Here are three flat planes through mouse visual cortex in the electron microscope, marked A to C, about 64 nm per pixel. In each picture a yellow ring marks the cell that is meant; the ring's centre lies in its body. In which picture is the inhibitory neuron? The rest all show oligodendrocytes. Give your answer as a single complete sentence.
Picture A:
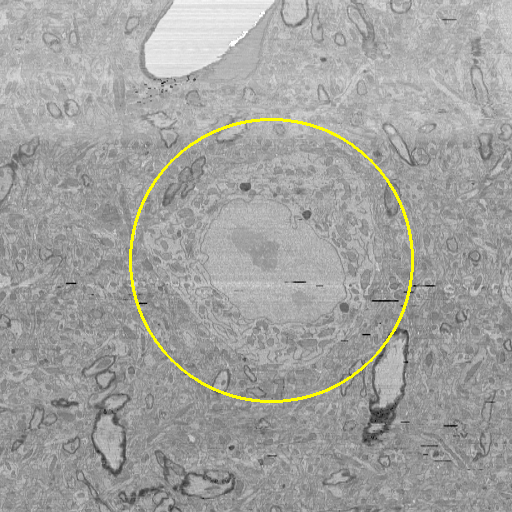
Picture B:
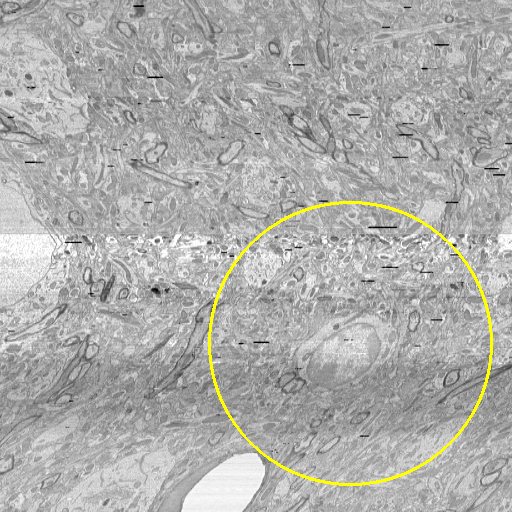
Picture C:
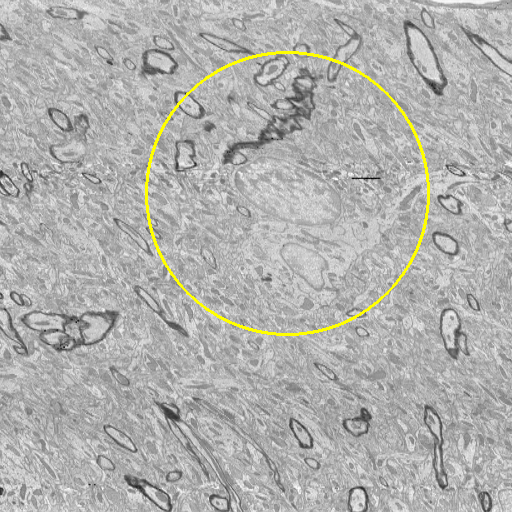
The cell in picture A is the inhibitory neuron.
